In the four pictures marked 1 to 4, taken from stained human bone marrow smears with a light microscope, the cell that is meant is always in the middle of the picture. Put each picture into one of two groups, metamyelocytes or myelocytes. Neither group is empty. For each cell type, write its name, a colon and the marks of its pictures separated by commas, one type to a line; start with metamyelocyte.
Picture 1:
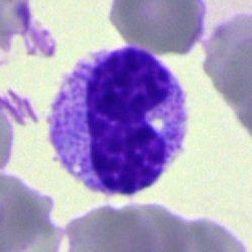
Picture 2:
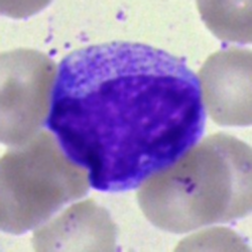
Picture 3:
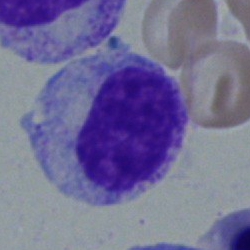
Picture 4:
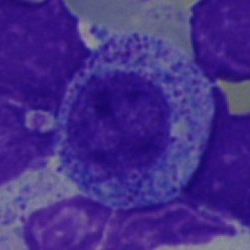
metamyelocyte: 1
myelocyte: 2, 3, 4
